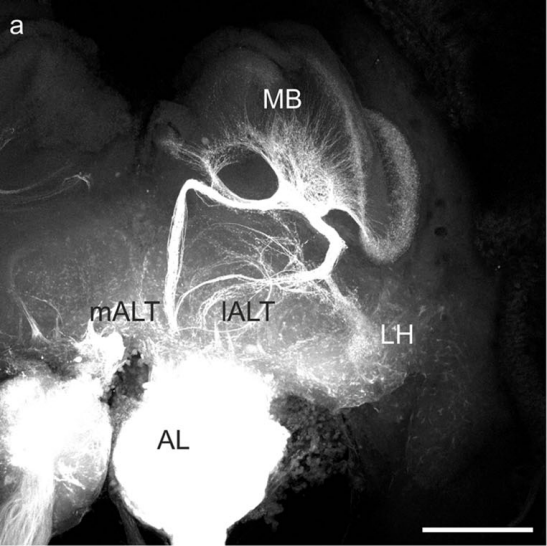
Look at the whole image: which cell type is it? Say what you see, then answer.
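Projection neurons. Bright fibre bundles leave the large, densely filled lobe at the bottom. The bundles run upward to a cup-shaped neuropil where they branch densely. Other branches spread into a region at the lateral side.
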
